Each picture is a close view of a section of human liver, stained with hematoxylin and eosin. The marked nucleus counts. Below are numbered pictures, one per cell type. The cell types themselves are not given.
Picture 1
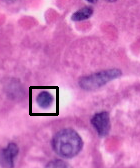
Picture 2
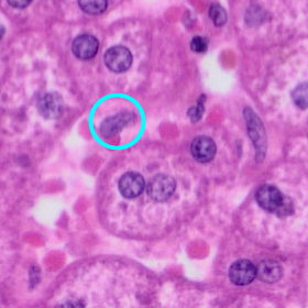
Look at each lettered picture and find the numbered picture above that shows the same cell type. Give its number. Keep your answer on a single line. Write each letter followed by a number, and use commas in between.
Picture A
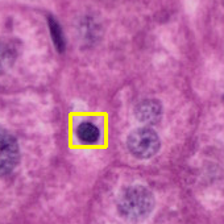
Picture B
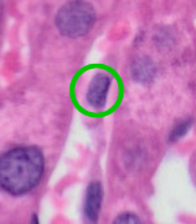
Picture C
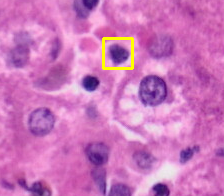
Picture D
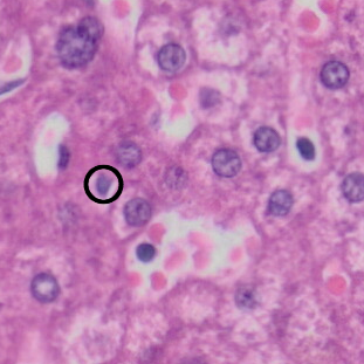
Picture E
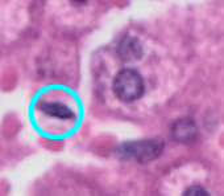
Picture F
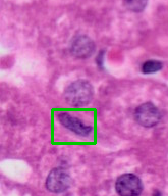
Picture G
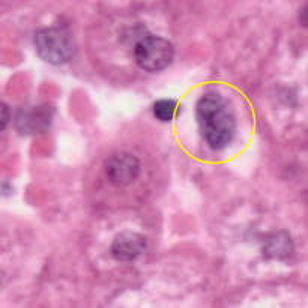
A 1, B 2, C 1, D 1, E 1, F 2, G 2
